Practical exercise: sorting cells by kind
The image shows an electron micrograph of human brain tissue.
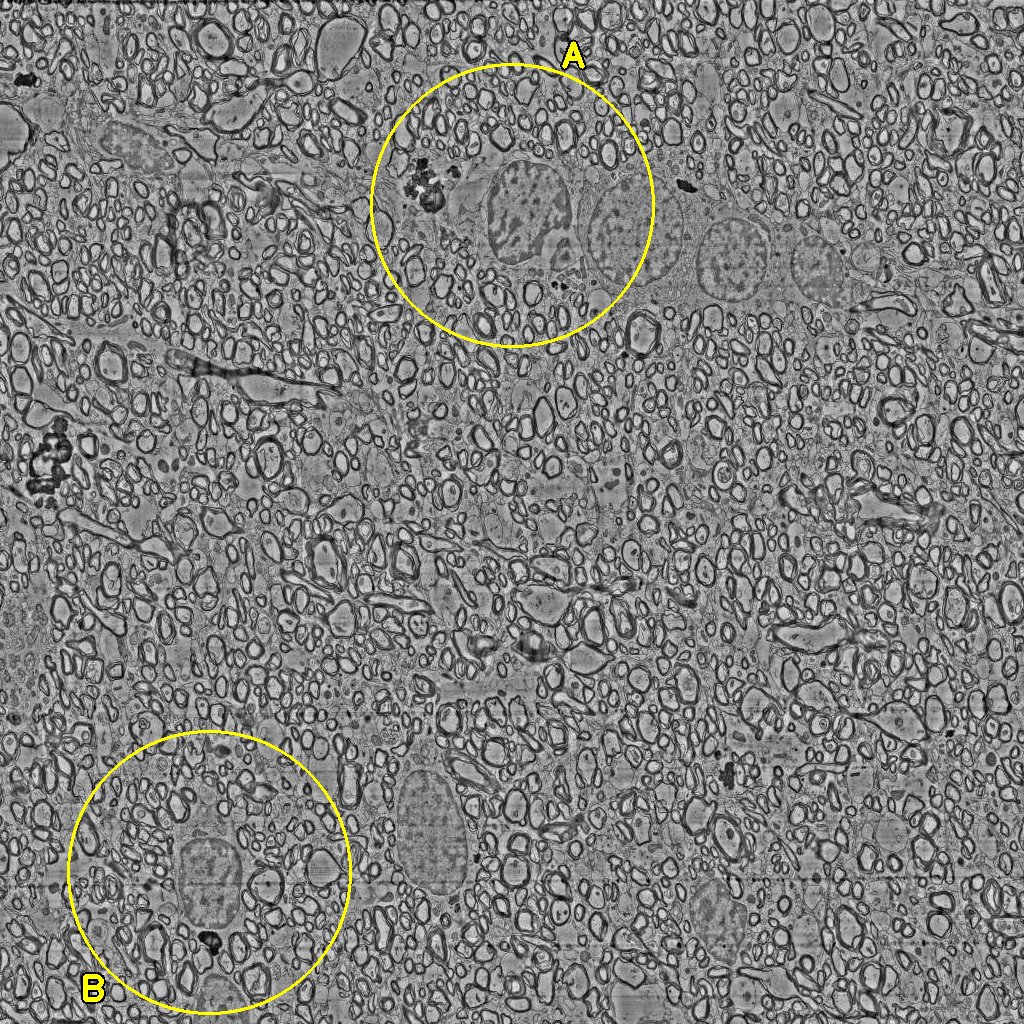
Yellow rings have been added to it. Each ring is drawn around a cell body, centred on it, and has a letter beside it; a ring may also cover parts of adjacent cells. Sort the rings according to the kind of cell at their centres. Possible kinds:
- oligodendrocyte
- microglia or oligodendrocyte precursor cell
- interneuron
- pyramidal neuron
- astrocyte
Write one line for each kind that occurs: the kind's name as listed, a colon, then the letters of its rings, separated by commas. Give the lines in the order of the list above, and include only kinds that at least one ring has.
oligodendrocyte: B
microglia or oligodendrocyte precursor cell: A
